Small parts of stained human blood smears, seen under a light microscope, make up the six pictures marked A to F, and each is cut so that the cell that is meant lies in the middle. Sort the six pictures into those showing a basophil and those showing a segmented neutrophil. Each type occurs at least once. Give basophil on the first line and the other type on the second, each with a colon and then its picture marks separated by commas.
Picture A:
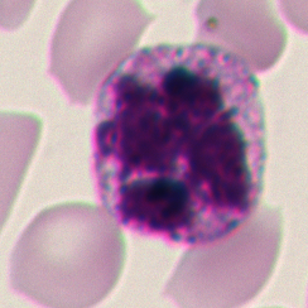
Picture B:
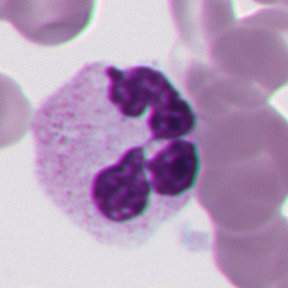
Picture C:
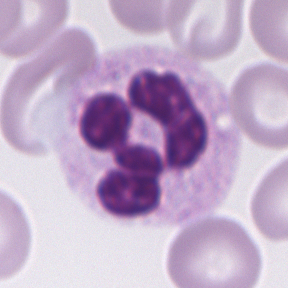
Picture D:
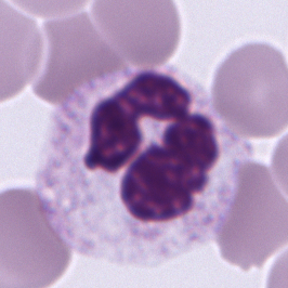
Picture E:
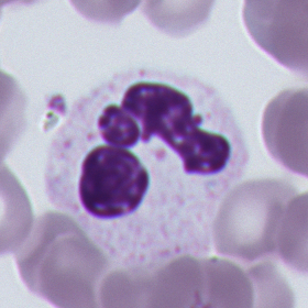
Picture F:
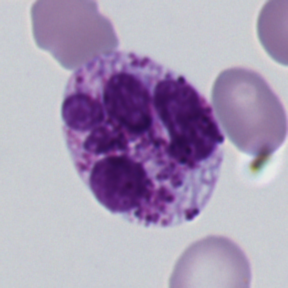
basophil: A, F
segmented neutrophil: B, C, D, E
